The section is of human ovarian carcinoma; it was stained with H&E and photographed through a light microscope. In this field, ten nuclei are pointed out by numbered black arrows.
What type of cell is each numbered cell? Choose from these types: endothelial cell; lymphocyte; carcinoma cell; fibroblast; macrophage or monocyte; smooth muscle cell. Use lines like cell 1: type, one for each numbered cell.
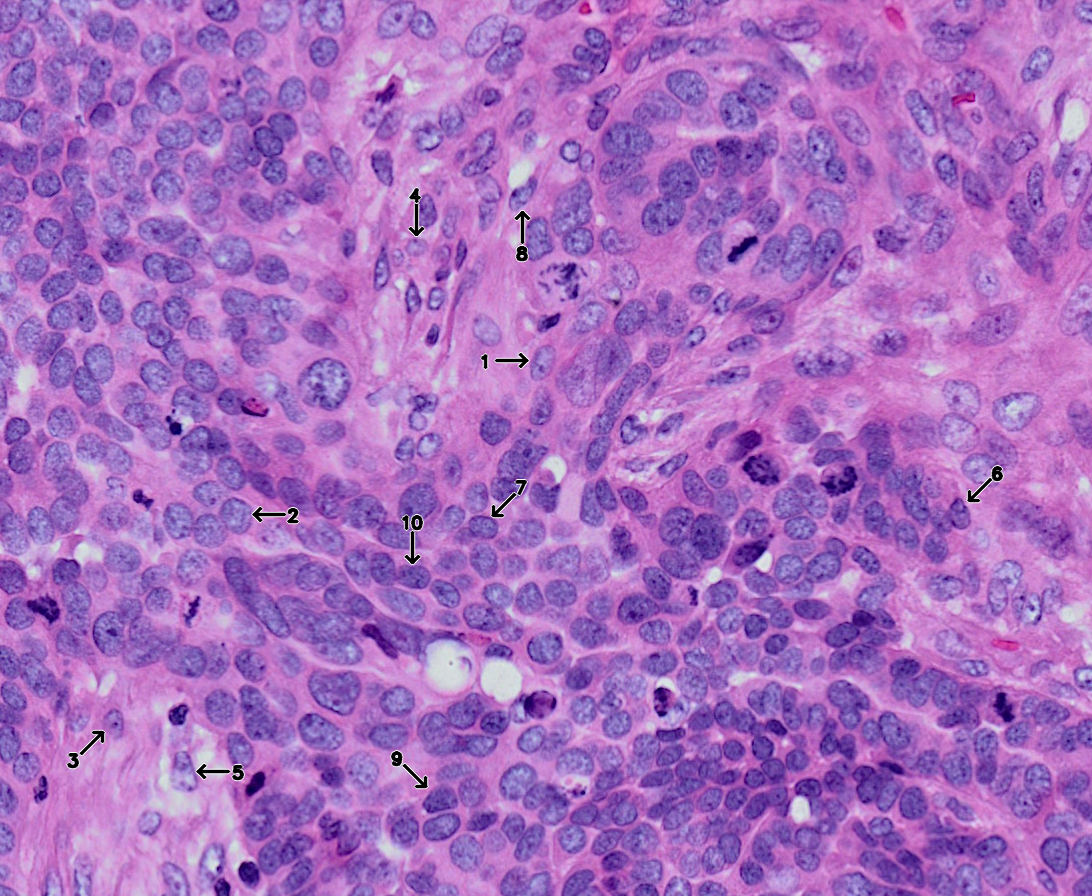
cell 1: fibroblast
cell 2: carcinoma cell
cell 3: fibroblast
cell 4: fibroblast
cell 5: fibroblast
cell 6: macrophage or monocyte
cell 7: carcinoma cell
cell 8: fibroblast
cell 9: carcinoma cell
cell 10: carcinoma cell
